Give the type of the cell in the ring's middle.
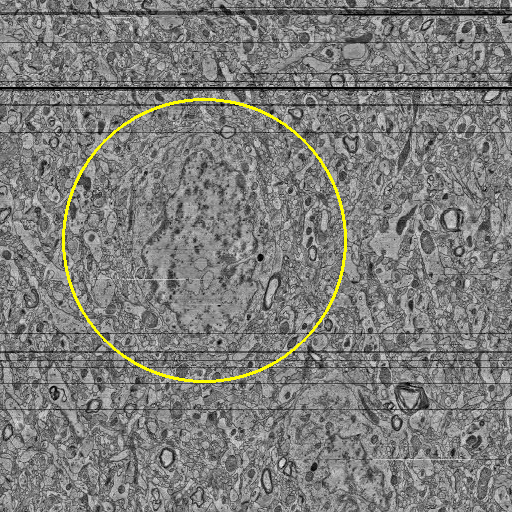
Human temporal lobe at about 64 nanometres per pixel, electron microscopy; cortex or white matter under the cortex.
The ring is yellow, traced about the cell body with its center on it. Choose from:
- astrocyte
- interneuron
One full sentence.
Here, an interneuron is the cell lying at the center of the yellow ring.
